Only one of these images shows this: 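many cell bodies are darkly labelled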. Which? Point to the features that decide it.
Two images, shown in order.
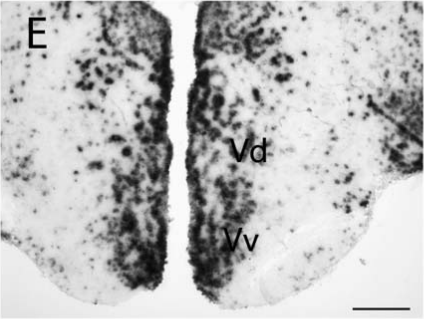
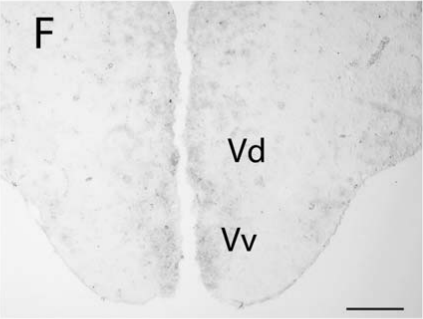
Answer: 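Second image: the section is uniformly pale, with no dark cell bodies. First image: dense dark dots and clusters of cell bodies line both sides of the midline and are scattered further out. So: the first image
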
